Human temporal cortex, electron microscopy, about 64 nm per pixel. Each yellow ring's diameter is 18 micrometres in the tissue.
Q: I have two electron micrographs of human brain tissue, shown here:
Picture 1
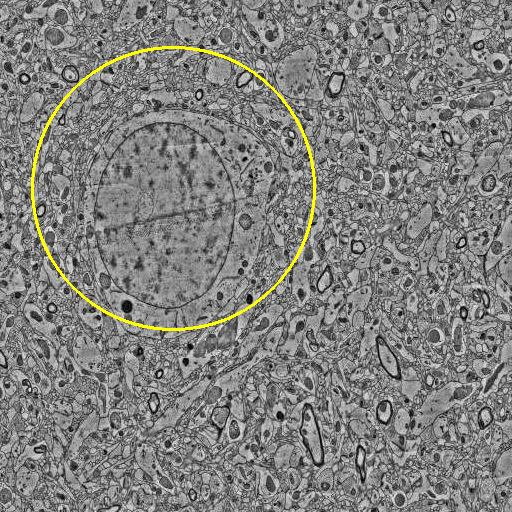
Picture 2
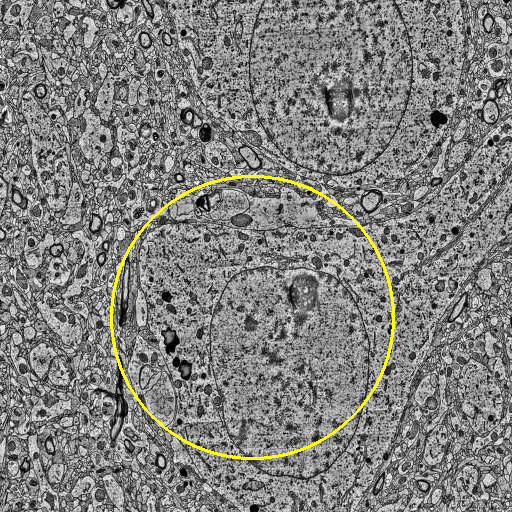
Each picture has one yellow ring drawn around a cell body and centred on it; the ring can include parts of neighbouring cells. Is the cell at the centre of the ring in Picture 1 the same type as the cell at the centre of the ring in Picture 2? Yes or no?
yes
